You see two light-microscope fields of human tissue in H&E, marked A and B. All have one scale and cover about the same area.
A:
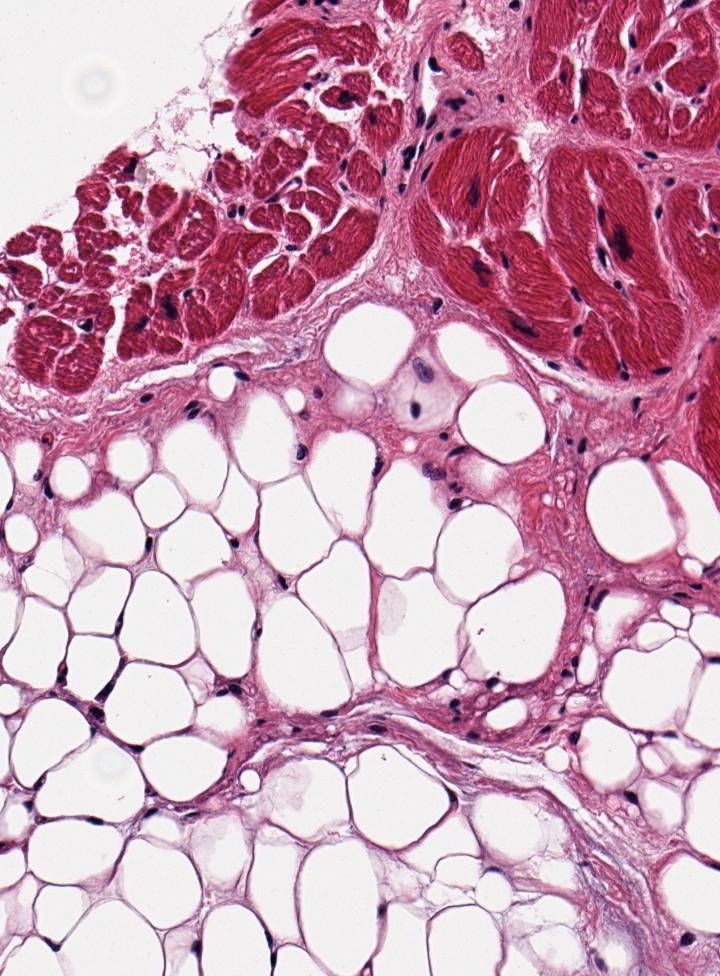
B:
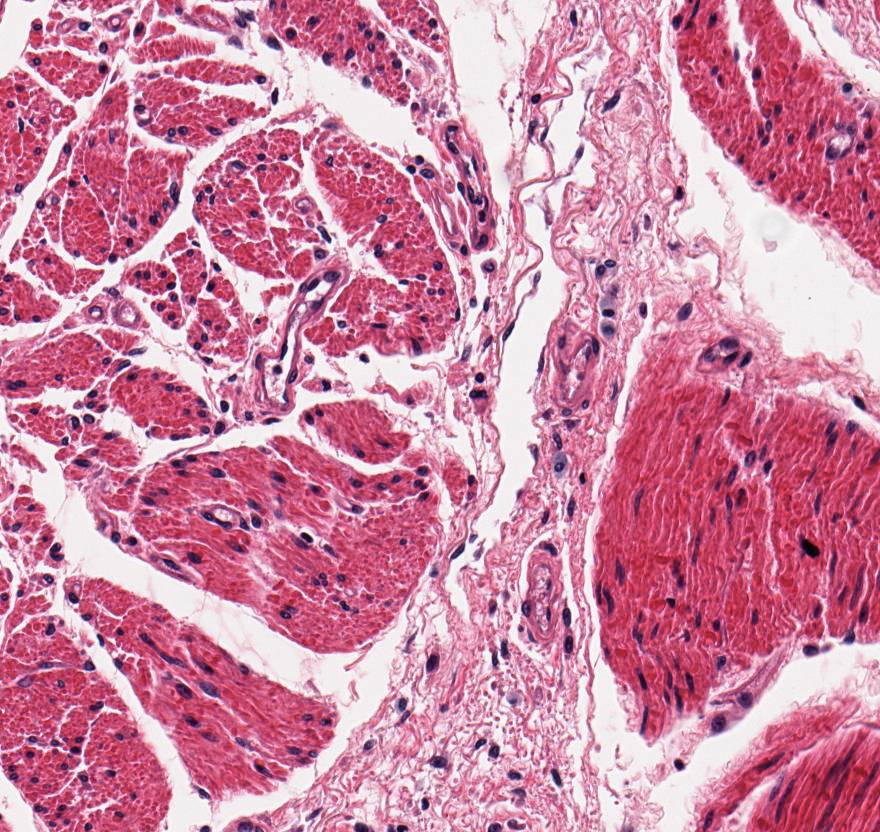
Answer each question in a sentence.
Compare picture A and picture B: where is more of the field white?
More of picture A is empty and white.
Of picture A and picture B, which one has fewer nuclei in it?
The smaller number of nuclei is in picture A.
